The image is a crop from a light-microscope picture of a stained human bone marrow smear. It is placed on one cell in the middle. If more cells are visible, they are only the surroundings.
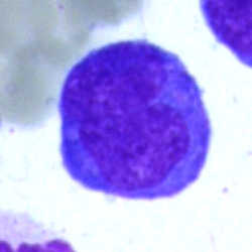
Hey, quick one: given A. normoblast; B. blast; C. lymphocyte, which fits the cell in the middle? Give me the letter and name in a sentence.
The cell at the heart of the crop is a blast, so choose option B.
